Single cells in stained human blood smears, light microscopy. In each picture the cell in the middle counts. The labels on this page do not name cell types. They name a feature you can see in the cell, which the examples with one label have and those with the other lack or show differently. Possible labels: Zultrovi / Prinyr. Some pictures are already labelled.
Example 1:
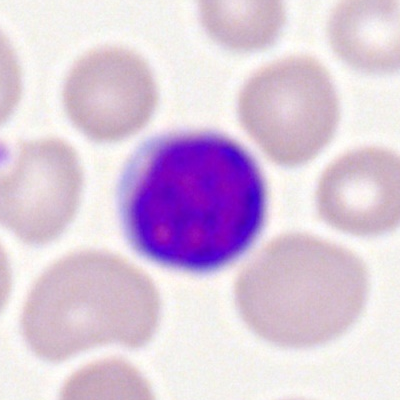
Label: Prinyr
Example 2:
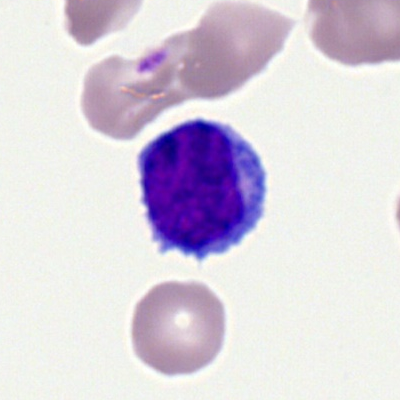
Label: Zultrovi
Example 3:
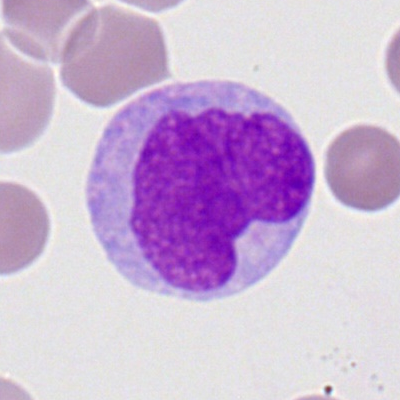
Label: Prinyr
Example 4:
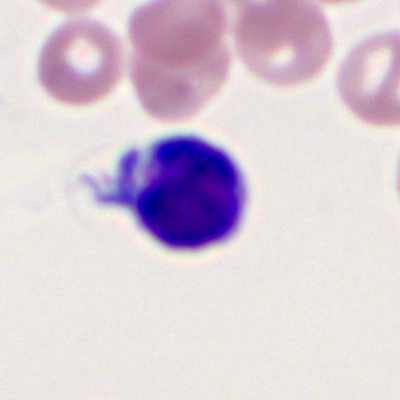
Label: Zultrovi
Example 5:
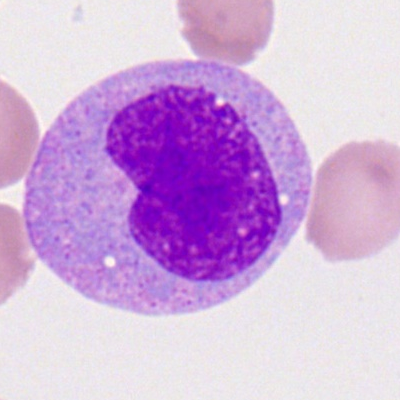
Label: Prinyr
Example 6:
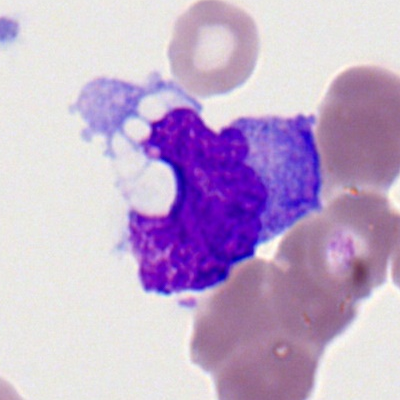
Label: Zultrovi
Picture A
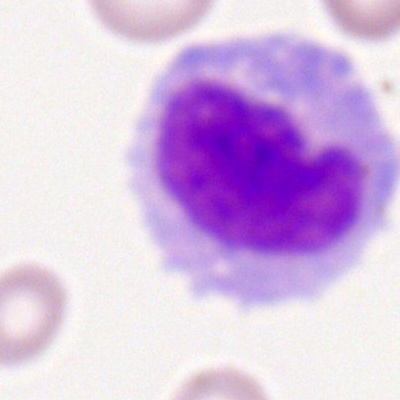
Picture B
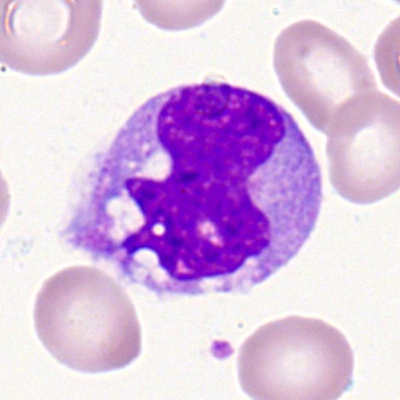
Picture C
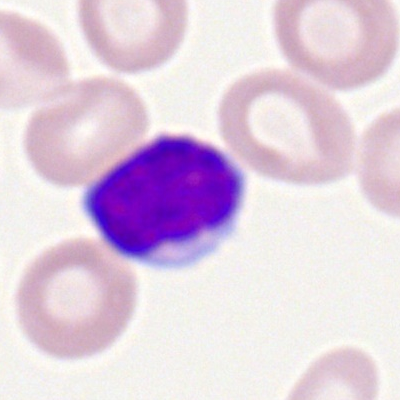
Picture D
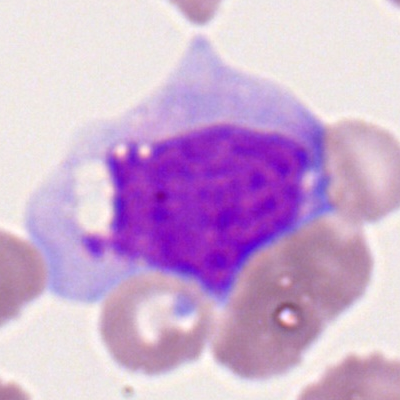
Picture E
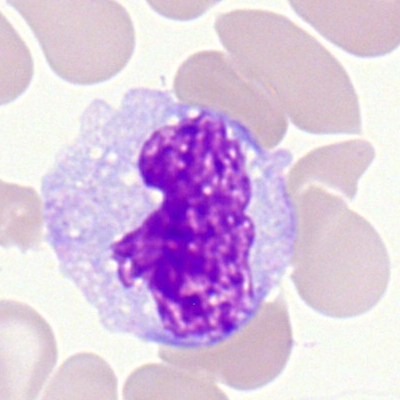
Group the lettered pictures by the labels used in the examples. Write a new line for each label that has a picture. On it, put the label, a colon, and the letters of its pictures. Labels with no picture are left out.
Zultrovi: A, B, D, E
Prinyr: C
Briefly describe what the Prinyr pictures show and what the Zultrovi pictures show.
Seen in Prinyr: smooth outline; seen in Zultrovi: ragged outline or projections.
